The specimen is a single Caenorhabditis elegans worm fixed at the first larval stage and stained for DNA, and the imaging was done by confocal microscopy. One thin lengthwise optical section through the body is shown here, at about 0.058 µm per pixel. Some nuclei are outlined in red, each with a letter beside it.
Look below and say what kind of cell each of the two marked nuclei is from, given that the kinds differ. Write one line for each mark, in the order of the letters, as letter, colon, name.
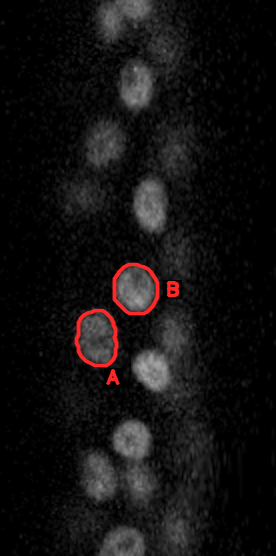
A: hypodermal cell (hyp)
B: seam cell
